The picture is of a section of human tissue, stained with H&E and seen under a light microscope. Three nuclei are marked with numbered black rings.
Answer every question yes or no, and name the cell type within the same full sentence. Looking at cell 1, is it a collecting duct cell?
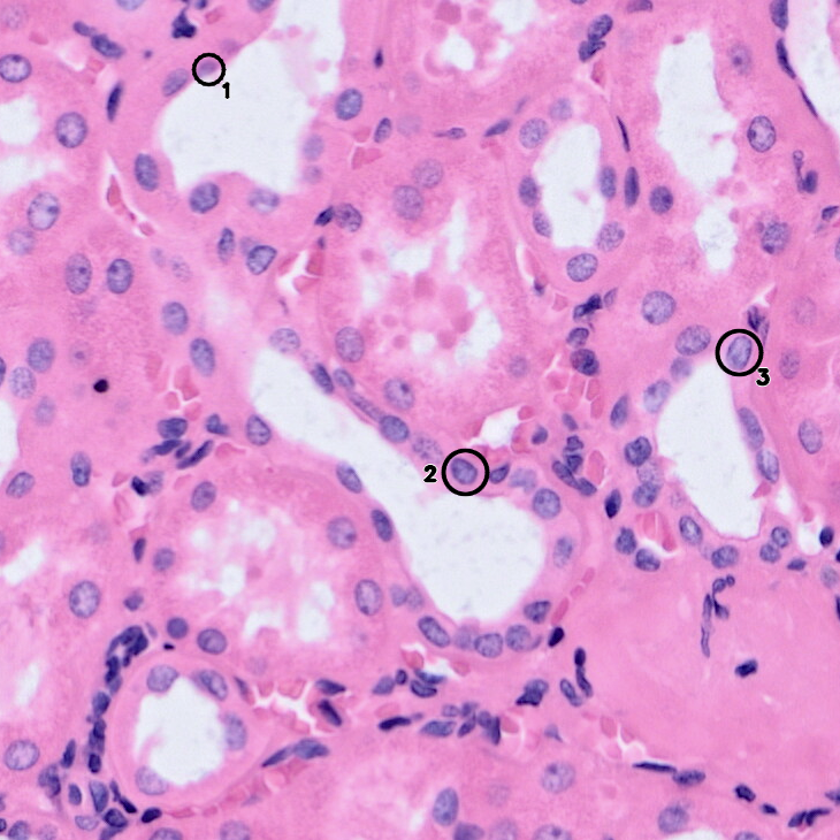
No, number 1 points to a loop of Henle or distal tubule cell and not to a collecting duct cell.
